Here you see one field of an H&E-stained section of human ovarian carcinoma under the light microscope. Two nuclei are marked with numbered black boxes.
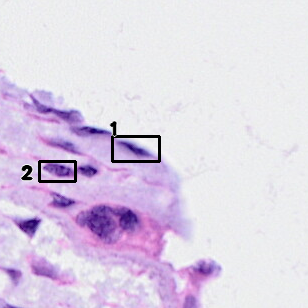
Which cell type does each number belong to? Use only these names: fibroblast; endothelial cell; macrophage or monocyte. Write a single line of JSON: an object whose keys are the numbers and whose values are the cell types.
{"1": "endothelial cell", "2": "fibroblast"}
